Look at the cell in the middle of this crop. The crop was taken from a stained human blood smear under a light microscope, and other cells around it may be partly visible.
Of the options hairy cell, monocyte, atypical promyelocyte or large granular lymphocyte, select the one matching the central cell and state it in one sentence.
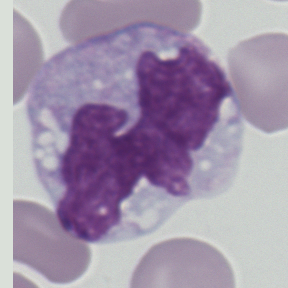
The cell the crop is centered on is a monocyte.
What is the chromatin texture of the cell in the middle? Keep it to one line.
No coarse chromatin clumps are present; the pattern is fine.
